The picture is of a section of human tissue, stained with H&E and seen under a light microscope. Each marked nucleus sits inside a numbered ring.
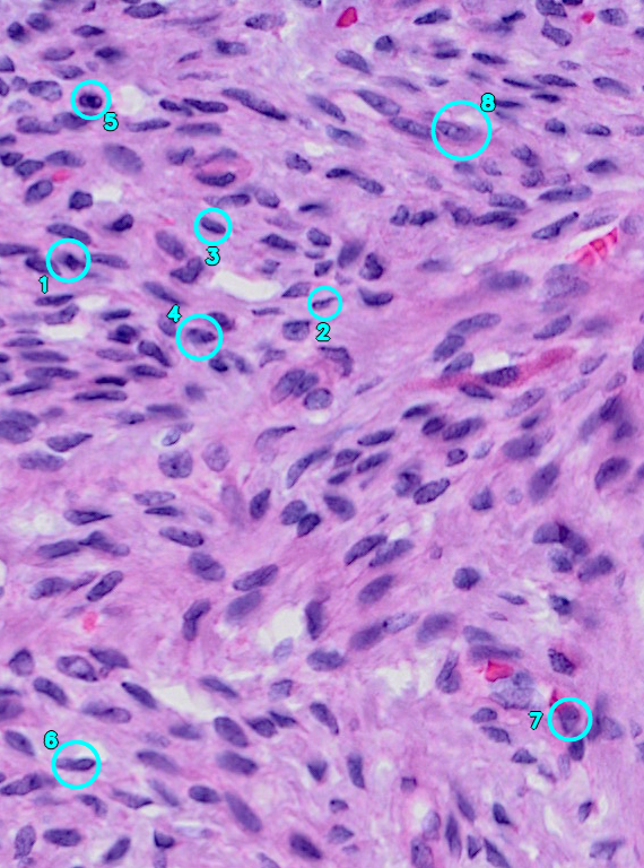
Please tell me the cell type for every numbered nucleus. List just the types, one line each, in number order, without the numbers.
fibroblast
fibroblast
fibroblast
fibroblast
lymphocyte
fibroblast
endothelial cell
endothelial cell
